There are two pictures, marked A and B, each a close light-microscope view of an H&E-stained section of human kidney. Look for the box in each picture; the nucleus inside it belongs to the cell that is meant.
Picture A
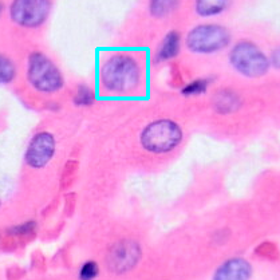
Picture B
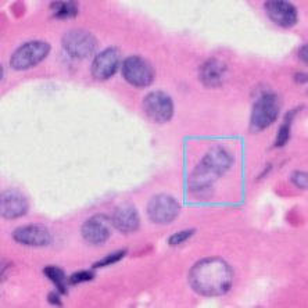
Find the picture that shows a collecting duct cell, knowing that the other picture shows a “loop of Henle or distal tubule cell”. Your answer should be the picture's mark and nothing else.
B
